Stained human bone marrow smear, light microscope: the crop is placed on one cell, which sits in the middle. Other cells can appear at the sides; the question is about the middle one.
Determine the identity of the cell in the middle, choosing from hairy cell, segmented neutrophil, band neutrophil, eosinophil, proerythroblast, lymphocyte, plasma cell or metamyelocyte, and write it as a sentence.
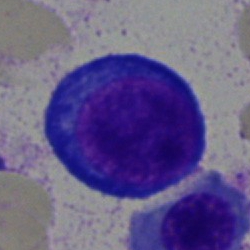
The middle position in this crop is taken by a proerythroblast.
